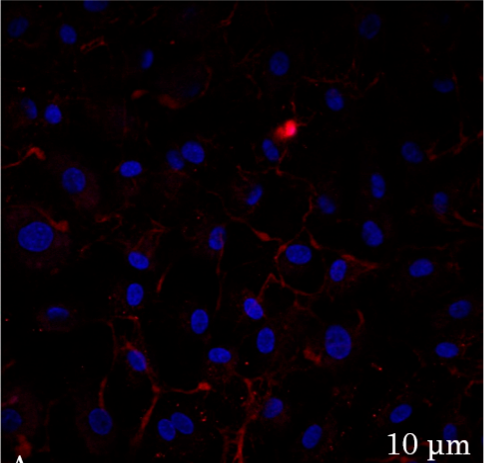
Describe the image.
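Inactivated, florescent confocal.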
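Thin, faint red lines run between the nuclei and trace the borders of neighbouring cells in a network. The cell bodies themselves are dark with only weak red, apart from an occasional small bright red spot.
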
